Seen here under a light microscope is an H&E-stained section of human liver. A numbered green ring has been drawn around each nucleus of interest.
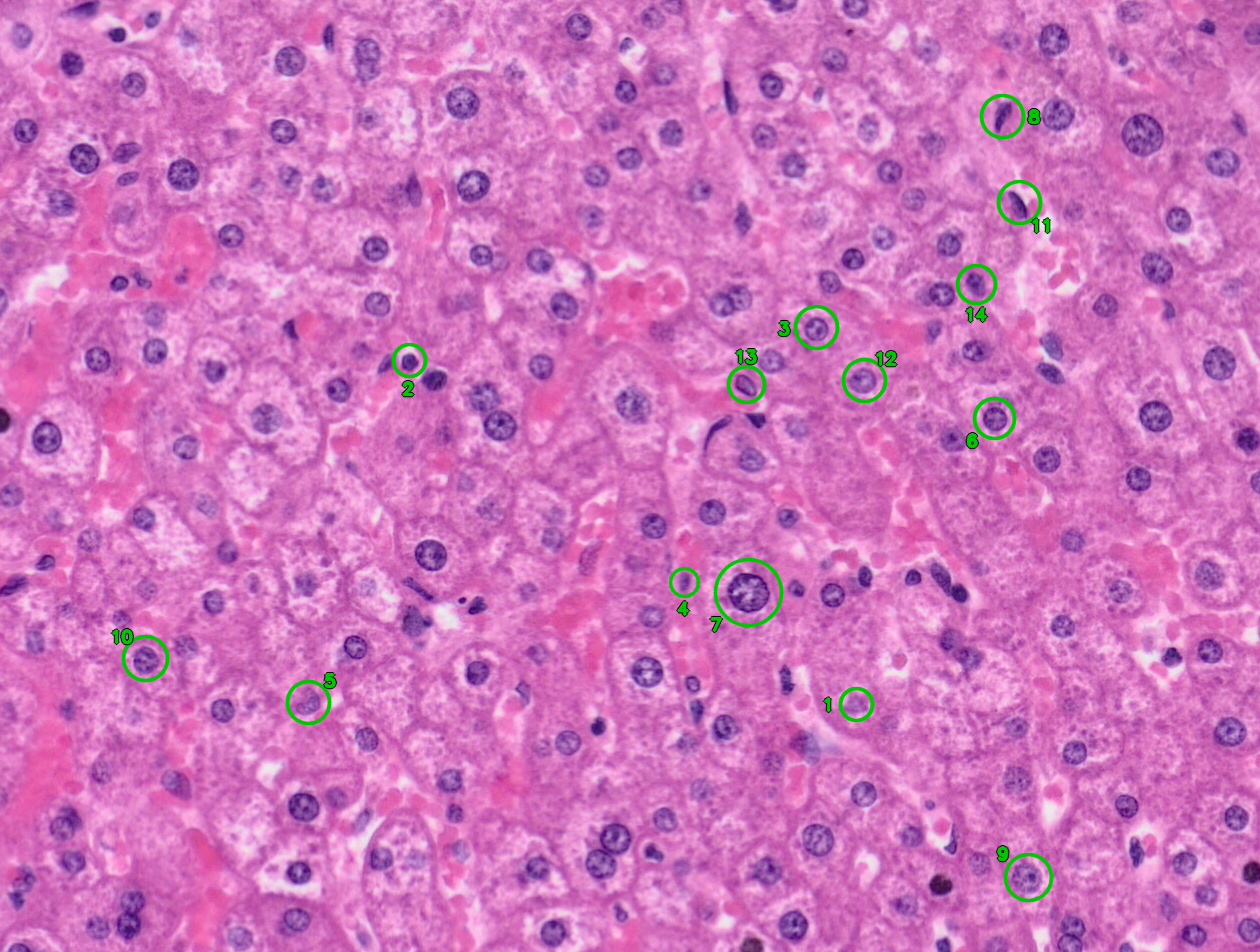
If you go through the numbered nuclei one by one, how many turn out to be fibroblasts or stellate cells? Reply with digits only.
2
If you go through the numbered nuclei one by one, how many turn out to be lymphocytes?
2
